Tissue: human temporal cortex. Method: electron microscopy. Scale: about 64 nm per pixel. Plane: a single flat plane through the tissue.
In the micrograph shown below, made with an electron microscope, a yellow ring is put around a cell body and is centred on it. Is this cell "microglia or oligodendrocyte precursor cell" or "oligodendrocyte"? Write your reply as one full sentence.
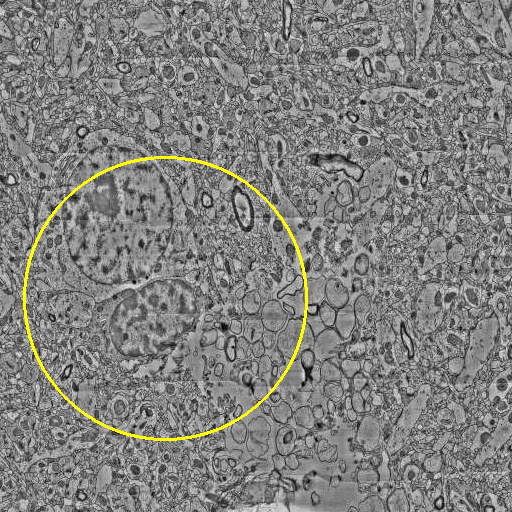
In the micrograph, an oligodendrocyte is the cell at the centre of the yellow ring.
